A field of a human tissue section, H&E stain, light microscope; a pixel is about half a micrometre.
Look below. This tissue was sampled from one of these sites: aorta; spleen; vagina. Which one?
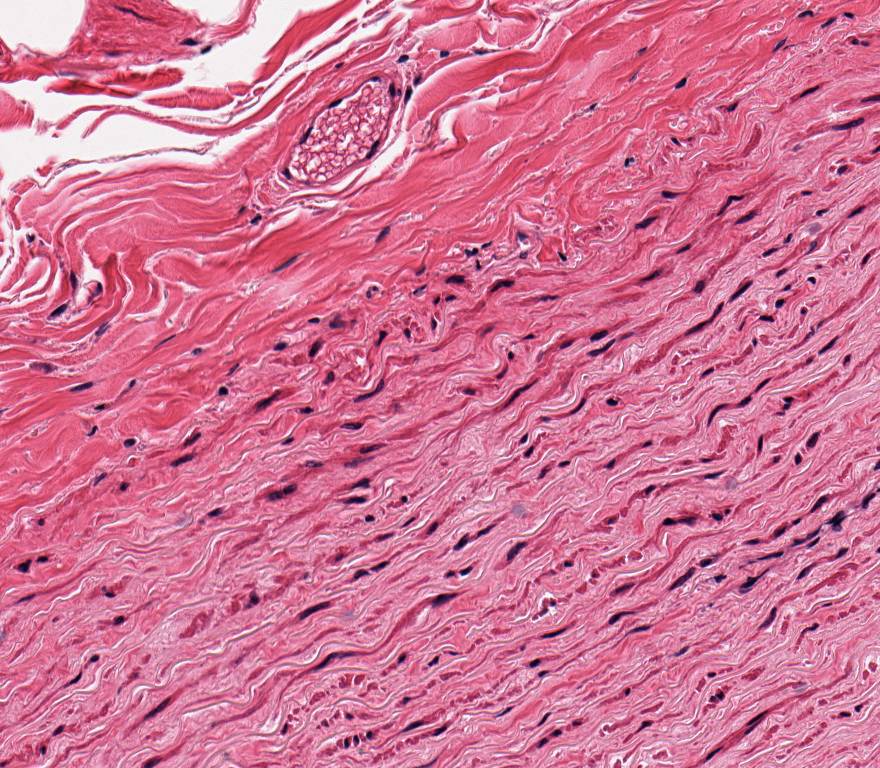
aorta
